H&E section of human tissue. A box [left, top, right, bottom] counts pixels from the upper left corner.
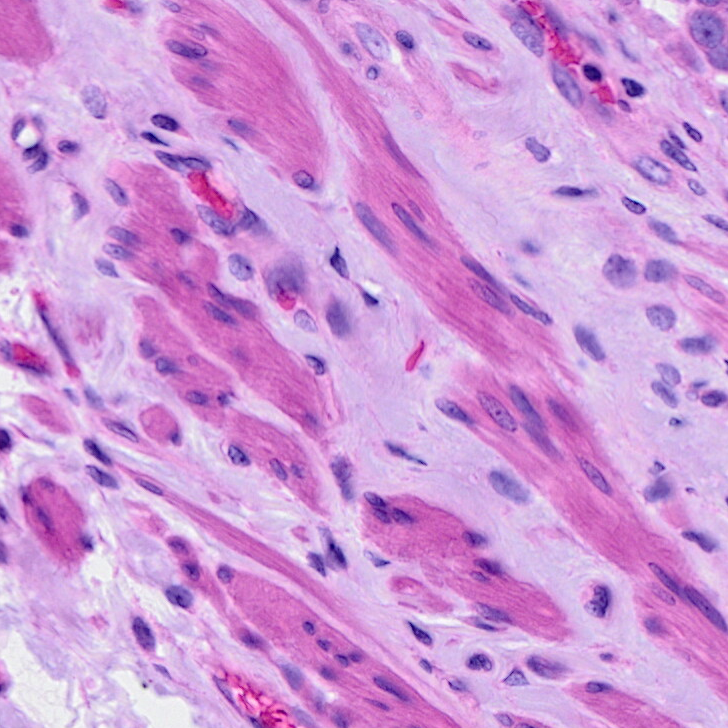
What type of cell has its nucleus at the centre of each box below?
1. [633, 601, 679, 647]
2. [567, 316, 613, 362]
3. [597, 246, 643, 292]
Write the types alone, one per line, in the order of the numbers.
smooth muscle cell
fibroblast
fibroblast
